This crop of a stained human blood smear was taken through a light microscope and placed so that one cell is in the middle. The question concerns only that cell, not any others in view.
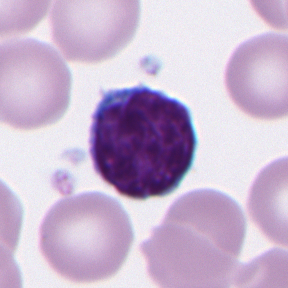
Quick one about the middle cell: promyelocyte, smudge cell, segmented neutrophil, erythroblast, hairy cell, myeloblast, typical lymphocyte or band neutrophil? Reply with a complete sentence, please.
At the middle of the frame sits a typical lymphocyte.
